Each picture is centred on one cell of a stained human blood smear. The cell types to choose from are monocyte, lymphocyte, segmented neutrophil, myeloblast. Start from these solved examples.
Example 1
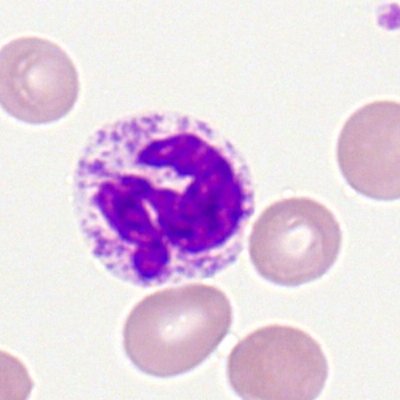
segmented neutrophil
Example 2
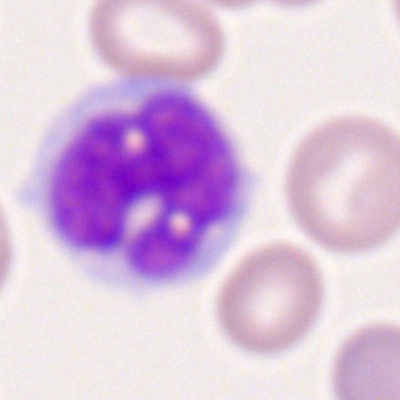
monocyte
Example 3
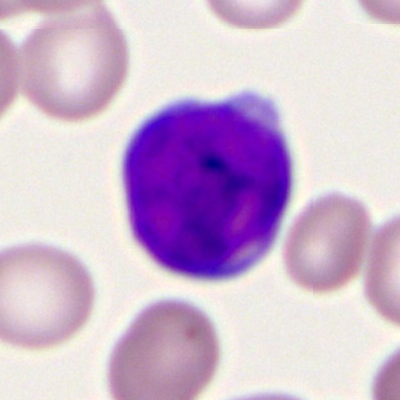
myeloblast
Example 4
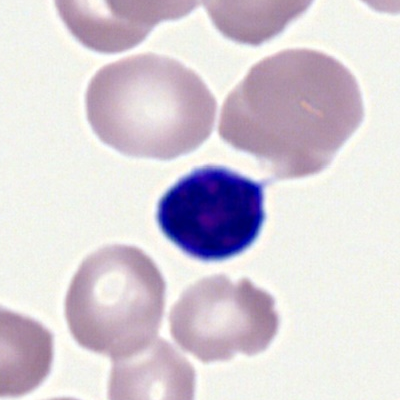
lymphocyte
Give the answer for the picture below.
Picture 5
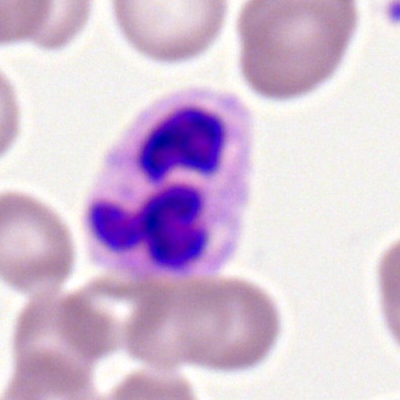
segmented neutrophil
